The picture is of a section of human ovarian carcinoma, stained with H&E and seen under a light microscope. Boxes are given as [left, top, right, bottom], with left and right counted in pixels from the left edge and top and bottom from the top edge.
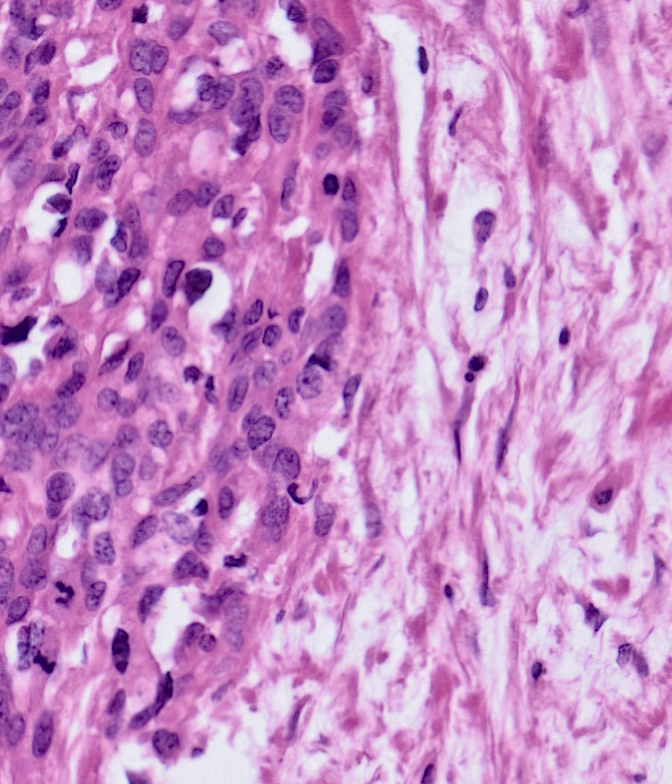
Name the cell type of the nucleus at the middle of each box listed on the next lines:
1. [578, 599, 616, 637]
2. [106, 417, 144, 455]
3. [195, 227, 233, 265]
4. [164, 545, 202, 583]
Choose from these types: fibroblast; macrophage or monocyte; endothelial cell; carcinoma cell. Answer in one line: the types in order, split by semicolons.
fibroblast; carcinoma cell; carcinoma cell; carcinoma cell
